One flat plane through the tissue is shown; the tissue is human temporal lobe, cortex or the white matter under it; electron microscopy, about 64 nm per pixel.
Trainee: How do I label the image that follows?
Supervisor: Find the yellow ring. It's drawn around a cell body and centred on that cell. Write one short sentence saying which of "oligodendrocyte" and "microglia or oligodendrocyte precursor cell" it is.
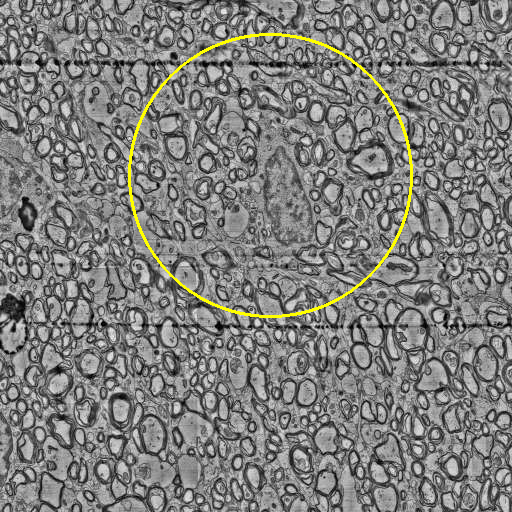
This is the cell body of an oligodendrocyte.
